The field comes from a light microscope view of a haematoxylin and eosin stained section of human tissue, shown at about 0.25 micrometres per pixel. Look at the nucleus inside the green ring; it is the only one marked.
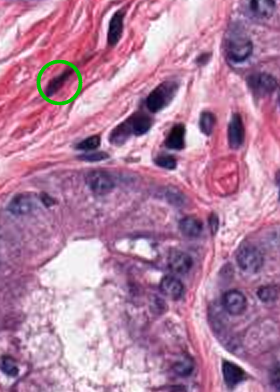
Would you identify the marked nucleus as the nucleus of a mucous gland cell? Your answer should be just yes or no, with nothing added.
no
